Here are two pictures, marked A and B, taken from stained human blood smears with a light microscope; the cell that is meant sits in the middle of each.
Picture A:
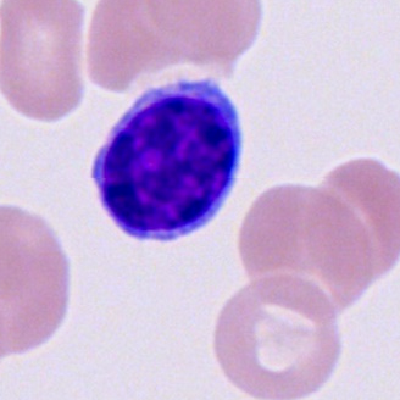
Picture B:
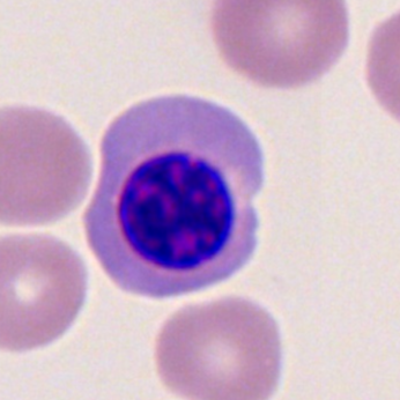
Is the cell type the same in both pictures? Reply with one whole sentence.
No. Picture A shows a lymphocyte, but picture B shows an erythroblast.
